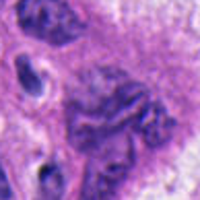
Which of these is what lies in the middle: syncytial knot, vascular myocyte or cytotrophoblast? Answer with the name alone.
cytotrophoblast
